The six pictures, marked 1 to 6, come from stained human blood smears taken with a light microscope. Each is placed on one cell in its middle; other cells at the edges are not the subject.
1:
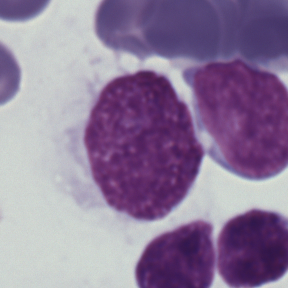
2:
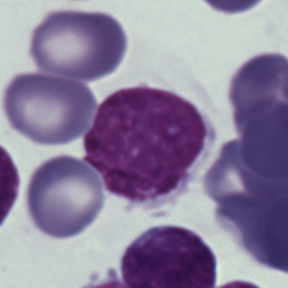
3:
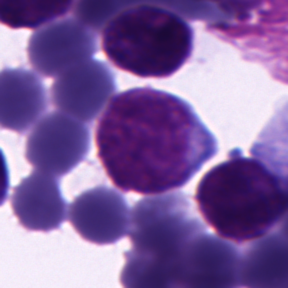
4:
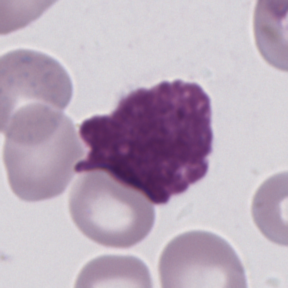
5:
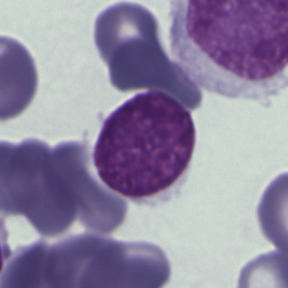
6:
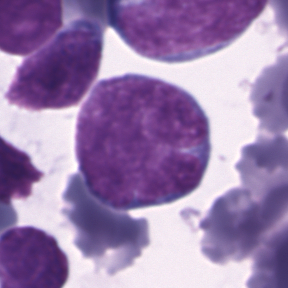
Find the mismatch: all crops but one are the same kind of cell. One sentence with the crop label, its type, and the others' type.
Crop 4 is the outlier, with a smudge cell against myeloblasts in the rest.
